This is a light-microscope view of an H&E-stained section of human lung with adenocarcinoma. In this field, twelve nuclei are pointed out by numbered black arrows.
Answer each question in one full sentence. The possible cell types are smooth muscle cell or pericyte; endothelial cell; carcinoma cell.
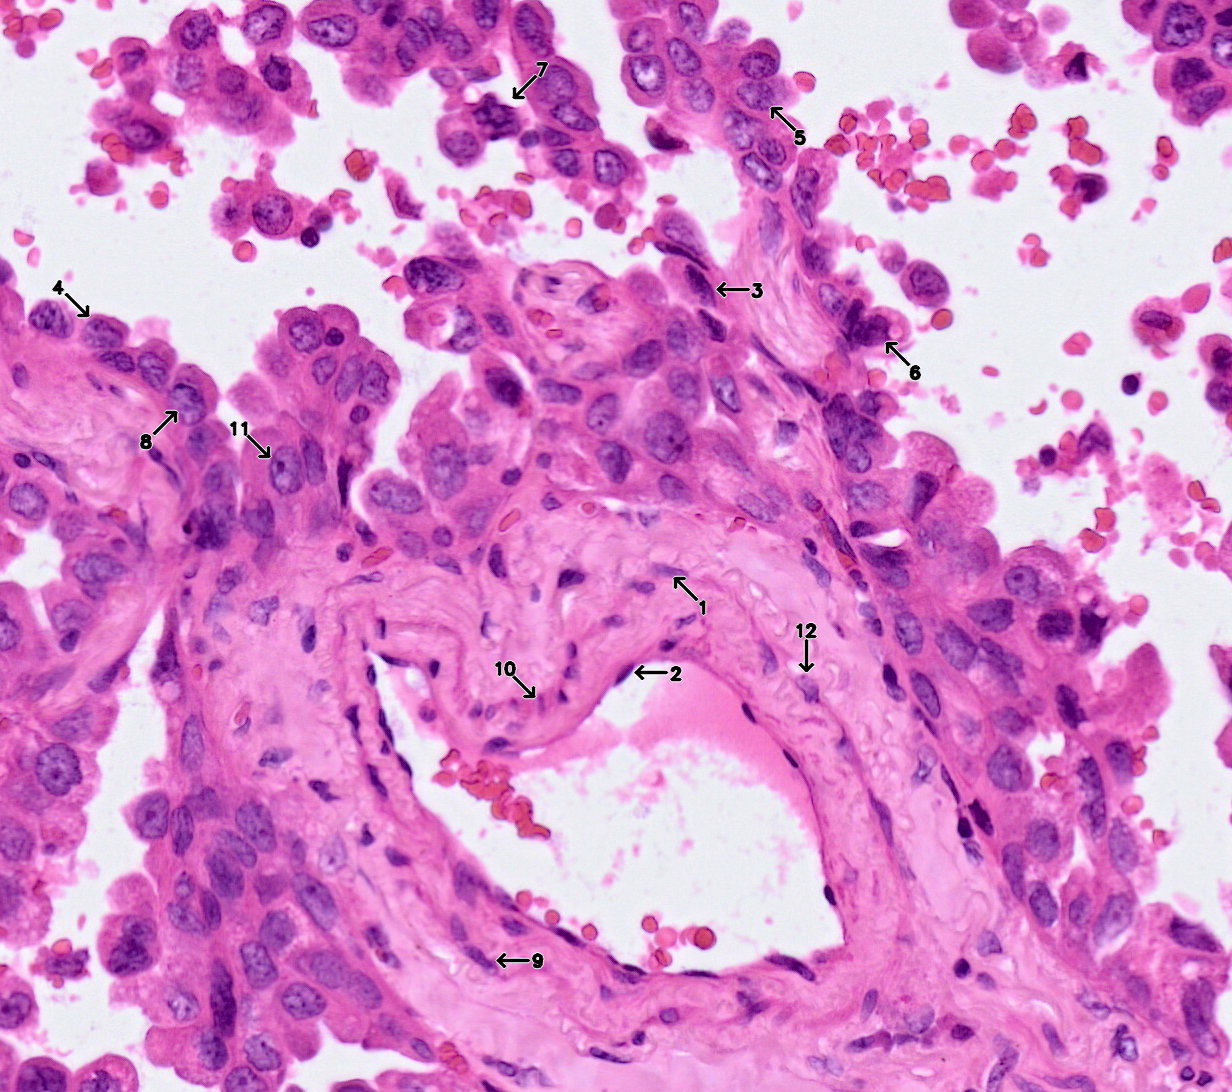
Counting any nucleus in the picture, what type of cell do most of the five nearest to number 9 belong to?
Of the five nuclei nearest to number 9, most belong to endothelial cells.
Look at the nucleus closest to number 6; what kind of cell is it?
The cell nearest to number 6 is a carcinoma cell.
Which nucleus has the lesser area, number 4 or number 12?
Nucleus 12 covers less area, with nucleus 4 about 2 times as large.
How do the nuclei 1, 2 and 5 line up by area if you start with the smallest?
Smallest first, the nuclei run 2, 1, 5.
